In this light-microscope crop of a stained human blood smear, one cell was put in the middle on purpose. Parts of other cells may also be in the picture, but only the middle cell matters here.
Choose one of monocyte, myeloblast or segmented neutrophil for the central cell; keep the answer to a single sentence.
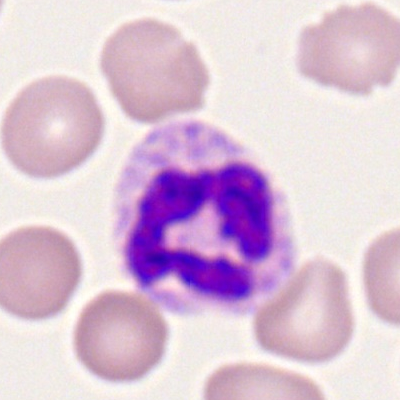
The crop shows a segmented neutrophil in its centre.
